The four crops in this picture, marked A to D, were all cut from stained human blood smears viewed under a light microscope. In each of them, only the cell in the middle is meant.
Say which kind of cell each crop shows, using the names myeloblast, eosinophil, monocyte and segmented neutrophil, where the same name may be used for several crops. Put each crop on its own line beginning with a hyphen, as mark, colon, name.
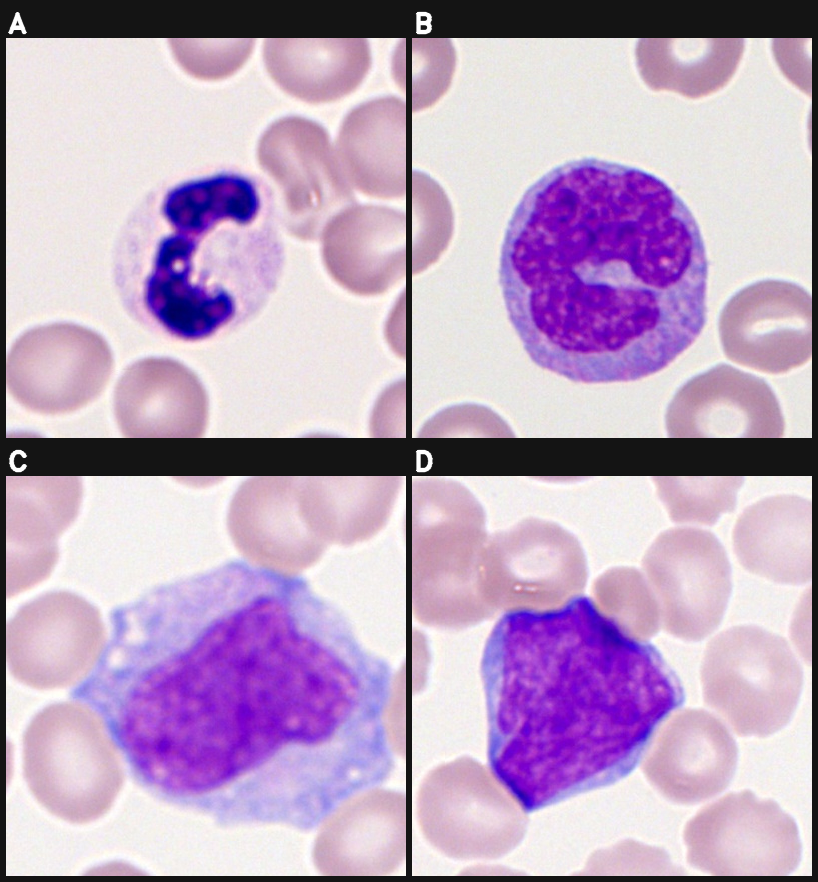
- A: segmented neutrophil
- B: monocyte
- C: monocyte
- D: myeloblast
